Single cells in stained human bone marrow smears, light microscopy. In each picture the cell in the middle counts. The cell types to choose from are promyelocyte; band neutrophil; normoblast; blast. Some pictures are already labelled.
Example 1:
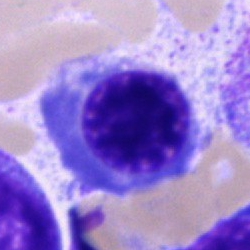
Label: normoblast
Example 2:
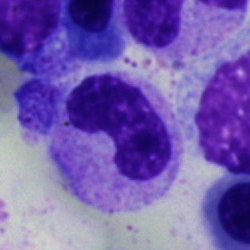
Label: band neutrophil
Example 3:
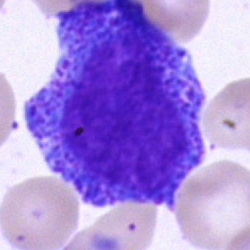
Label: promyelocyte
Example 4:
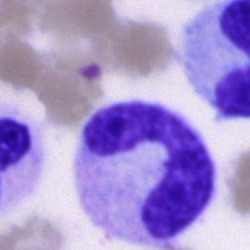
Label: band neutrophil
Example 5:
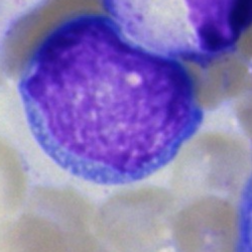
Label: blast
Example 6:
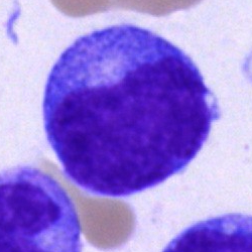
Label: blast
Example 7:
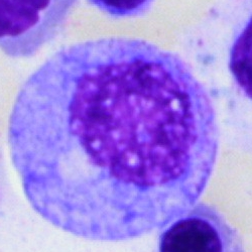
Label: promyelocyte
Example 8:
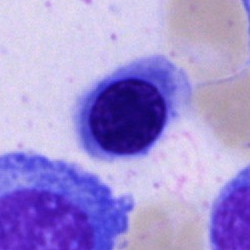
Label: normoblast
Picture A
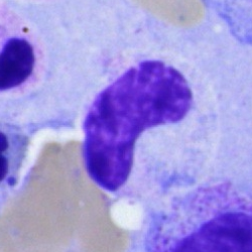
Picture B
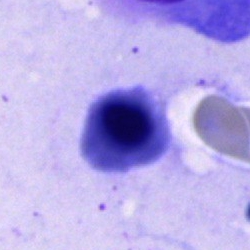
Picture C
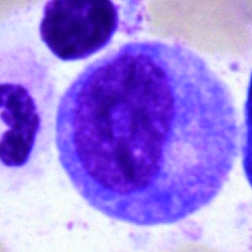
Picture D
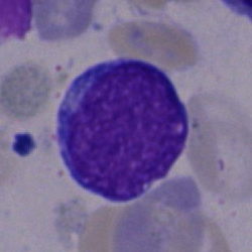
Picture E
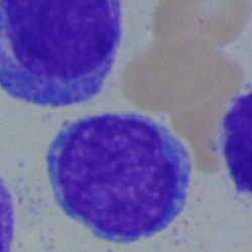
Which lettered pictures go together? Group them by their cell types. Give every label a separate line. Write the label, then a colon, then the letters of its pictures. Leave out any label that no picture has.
promyelocyte: C
band neutrophil: A
normoblast: B
blast: D, E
